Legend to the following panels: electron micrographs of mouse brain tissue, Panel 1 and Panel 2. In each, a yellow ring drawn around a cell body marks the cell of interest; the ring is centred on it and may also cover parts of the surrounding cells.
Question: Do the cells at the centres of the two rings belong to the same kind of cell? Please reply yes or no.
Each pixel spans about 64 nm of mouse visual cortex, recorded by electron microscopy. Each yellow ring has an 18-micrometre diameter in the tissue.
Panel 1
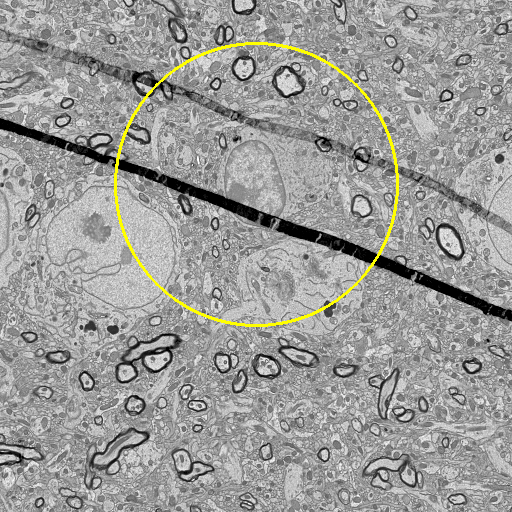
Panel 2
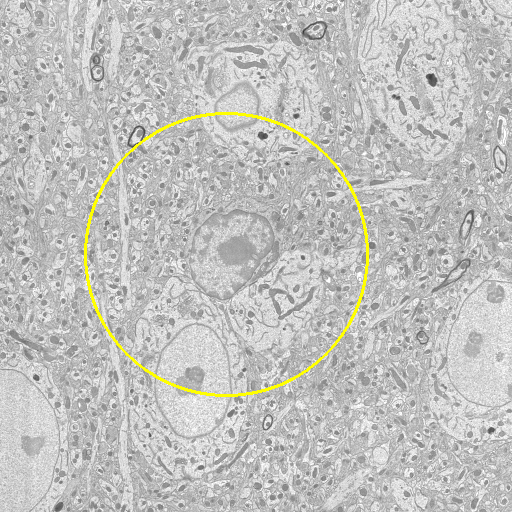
yes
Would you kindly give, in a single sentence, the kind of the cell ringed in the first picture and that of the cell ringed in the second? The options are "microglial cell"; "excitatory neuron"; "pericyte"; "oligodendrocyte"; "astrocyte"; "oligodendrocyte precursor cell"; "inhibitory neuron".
Each of the two rings is centred on an oligodendrocyte.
